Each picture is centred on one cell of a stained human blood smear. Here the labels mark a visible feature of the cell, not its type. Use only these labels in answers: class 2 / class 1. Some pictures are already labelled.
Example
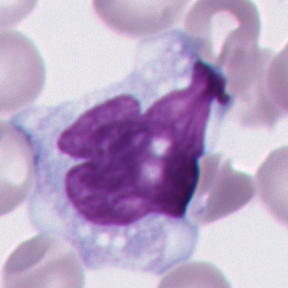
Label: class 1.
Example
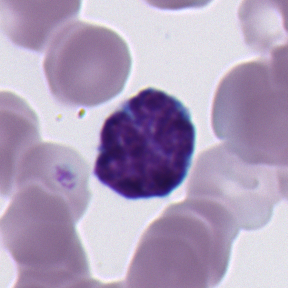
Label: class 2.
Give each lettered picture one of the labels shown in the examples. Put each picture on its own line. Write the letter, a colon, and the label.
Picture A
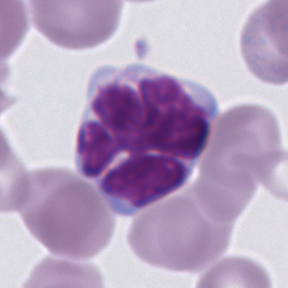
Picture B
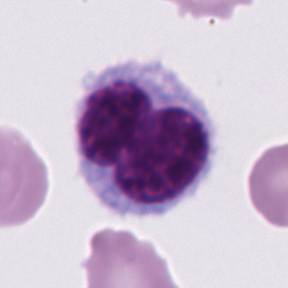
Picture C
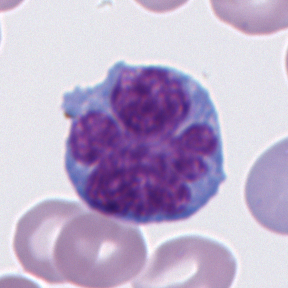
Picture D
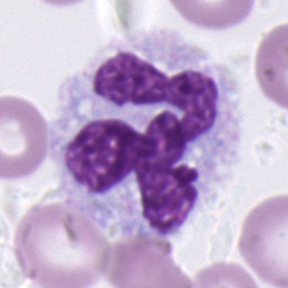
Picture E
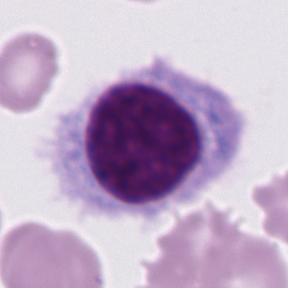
A: class 1.
B: class 1.
C: class 1.
D: class 1.
E: class 2.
